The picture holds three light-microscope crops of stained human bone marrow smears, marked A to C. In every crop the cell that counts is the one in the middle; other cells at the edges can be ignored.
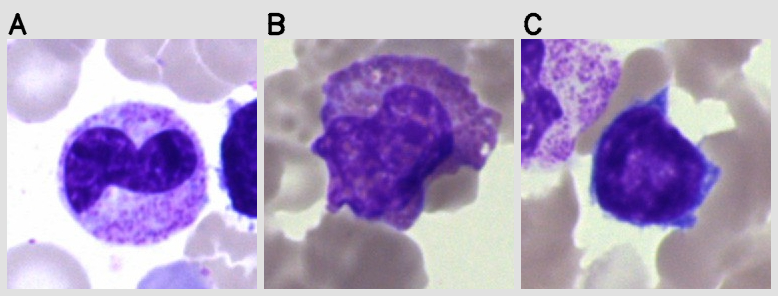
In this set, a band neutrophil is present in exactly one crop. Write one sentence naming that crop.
Among the crops, only crop A contains a band neutrophil.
